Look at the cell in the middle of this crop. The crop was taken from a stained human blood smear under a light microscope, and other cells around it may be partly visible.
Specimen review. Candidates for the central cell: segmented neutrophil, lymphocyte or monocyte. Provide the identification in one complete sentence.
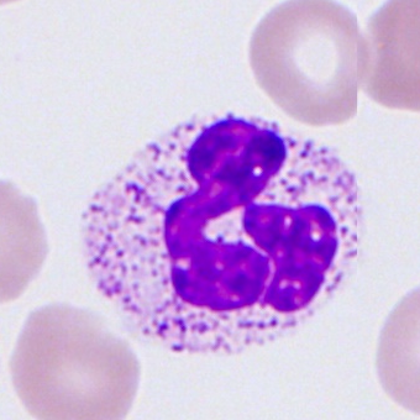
Classification of the middle cell gives a segmented neutrophil.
